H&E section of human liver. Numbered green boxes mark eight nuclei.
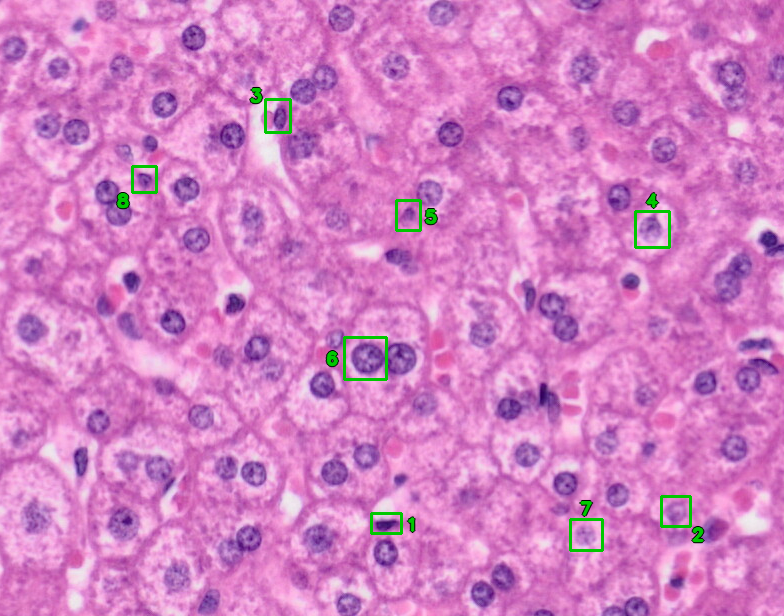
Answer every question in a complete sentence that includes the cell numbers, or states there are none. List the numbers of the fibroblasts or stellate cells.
The cells marked by the numbers 5 and 8 are fibroblasts or stellate cells.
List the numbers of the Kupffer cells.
Cell 3 is a Kupffer cell, while every other numbered cell is not.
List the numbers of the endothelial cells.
Only the cell numbered 1 is an endothelial cell, and the others are something else.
